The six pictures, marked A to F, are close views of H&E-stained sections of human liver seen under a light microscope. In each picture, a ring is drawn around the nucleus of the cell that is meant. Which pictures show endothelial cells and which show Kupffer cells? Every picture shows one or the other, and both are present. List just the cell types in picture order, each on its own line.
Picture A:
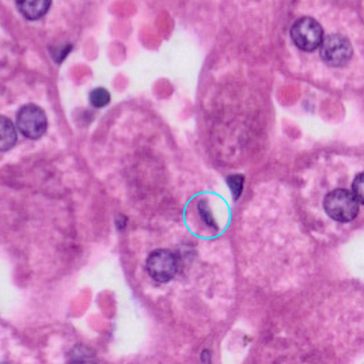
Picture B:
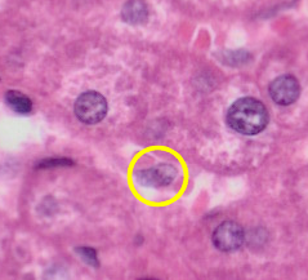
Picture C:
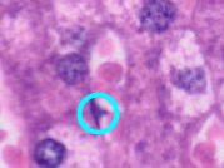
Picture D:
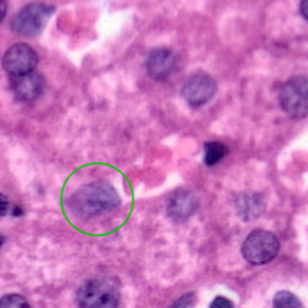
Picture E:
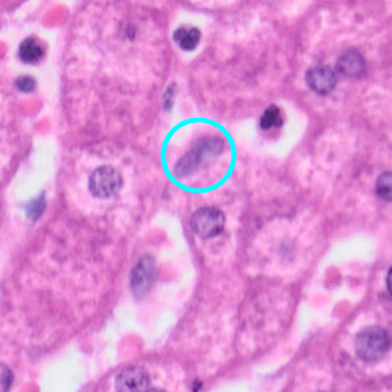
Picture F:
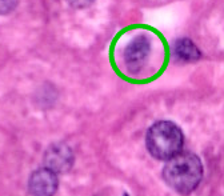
endothelial cell
Kupffer cell
endothelial cell
endothelial cell
Kupffer cell
Kupffer cell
